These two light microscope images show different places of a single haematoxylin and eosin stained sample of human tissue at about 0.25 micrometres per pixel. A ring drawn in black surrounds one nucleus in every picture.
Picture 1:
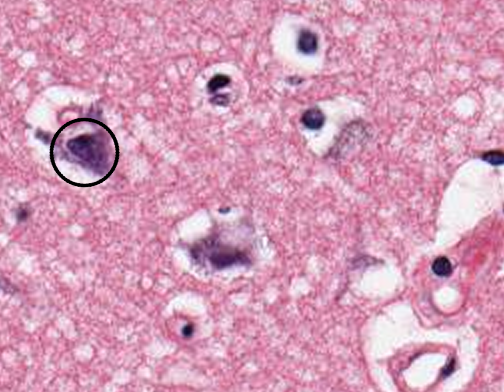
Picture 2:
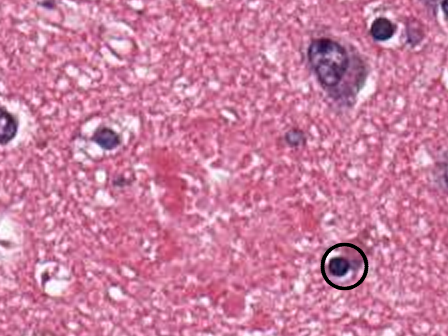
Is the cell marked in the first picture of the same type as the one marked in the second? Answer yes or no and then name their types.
No, the first is a neuron and the second an oligodendrocyte.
